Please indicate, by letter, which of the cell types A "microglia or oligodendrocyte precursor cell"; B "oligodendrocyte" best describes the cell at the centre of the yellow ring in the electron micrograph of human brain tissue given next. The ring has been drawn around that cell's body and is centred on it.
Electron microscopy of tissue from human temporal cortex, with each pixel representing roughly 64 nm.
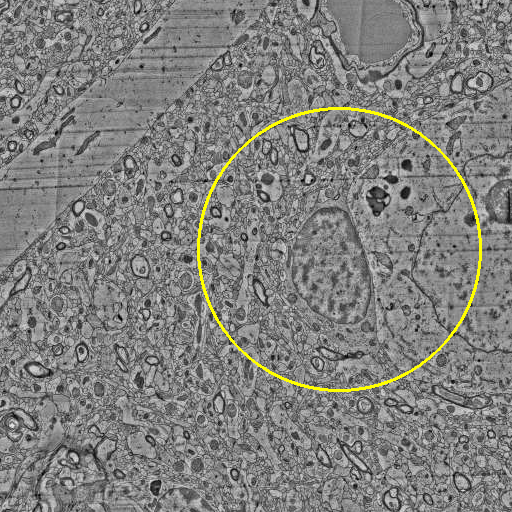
B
